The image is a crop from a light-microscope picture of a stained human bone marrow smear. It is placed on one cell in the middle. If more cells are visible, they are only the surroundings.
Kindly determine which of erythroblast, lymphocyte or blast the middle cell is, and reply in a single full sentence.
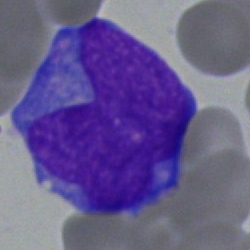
As for the central cell, it is a blast.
